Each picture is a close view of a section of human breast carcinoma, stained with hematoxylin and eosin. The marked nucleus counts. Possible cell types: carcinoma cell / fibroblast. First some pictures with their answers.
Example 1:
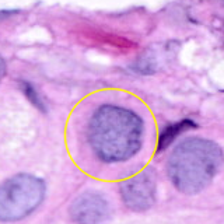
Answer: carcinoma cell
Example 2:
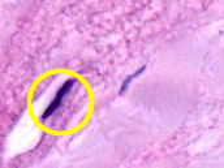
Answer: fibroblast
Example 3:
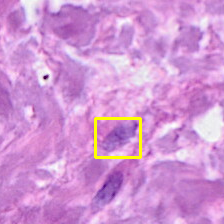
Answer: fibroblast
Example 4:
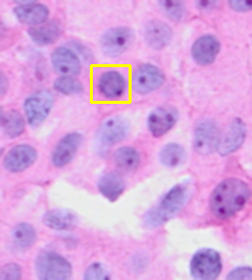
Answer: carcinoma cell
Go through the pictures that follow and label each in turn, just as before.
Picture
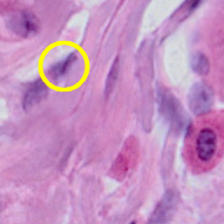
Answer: fibroblast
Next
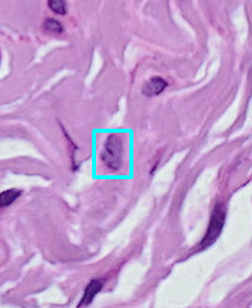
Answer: fibroblast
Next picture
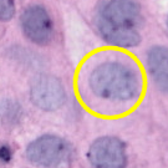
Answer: carcinoma cell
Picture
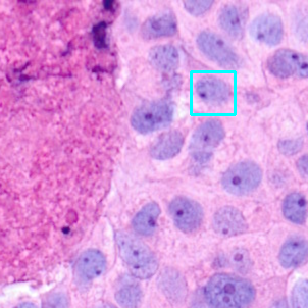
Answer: carcinoma cell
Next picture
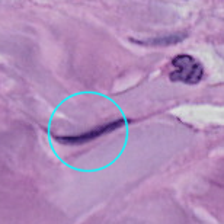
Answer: fibroblast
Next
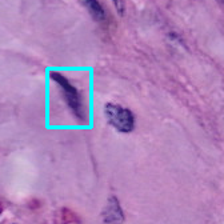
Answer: fibroblast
